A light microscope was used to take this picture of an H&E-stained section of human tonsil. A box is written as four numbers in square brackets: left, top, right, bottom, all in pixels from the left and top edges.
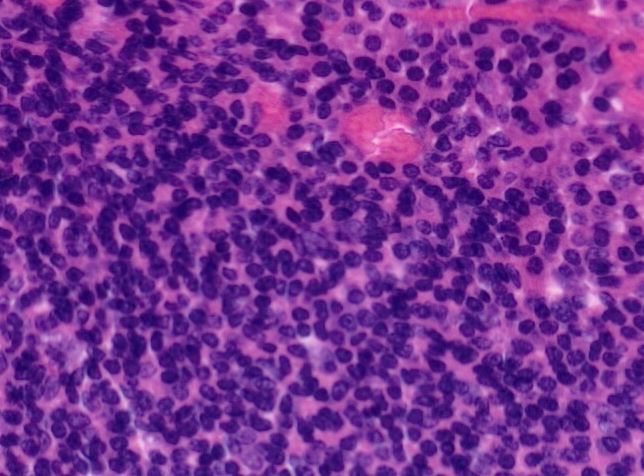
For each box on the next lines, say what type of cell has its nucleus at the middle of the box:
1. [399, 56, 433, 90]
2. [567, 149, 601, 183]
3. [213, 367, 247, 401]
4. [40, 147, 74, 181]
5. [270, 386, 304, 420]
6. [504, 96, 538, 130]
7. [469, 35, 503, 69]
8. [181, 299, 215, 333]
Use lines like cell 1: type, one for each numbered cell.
cell 1: plasma cell
cell 2: plasma cell
cell 3: small lymphocyte
cell 4: small lymphocyte
cell 5: small lymphocyte
cell 6: plasma cell
cell 7: plasma cell
cell 8: small lymphocyte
